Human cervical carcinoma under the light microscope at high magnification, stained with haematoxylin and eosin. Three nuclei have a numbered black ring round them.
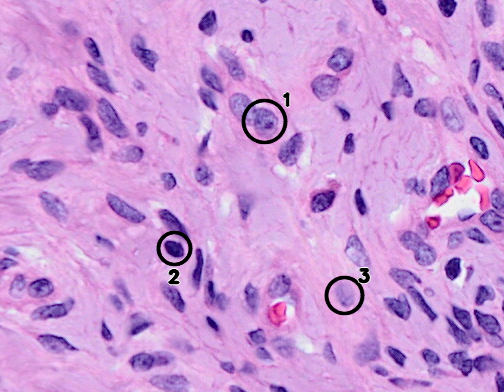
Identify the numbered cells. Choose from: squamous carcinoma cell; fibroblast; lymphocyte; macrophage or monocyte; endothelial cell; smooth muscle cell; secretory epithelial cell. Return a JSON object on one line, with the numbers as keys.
{"1": "endothelial cell", "2": "lymphocyte", "3": "fibroblast"}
